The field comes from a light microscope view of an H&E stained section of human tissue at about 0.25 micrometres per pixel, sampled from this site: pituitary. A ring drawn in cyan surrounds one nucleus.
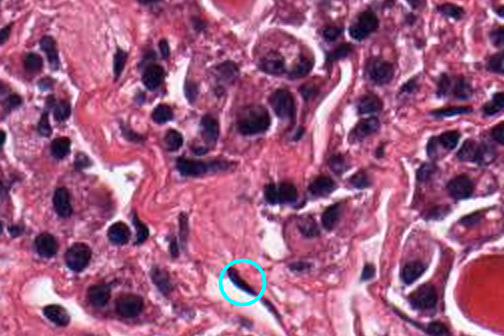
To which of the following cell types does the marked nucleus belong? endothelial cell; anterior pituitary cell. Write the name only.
endothelial cell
